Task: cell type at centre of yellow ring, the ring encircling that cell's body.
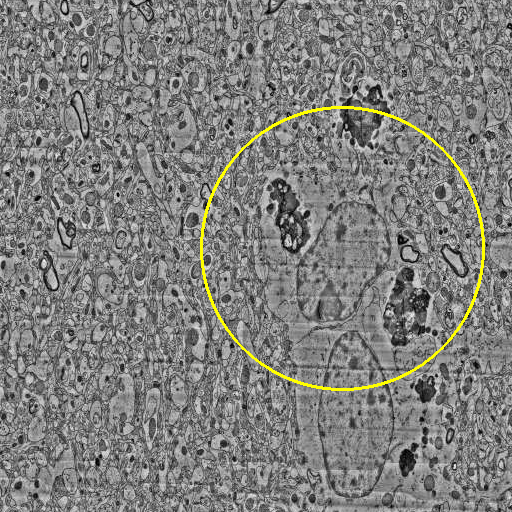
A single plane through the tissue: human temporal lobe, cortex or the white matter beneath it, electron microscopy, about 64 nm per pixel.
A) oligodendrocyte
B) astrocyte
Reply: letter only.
B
